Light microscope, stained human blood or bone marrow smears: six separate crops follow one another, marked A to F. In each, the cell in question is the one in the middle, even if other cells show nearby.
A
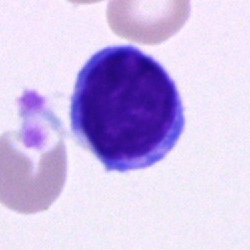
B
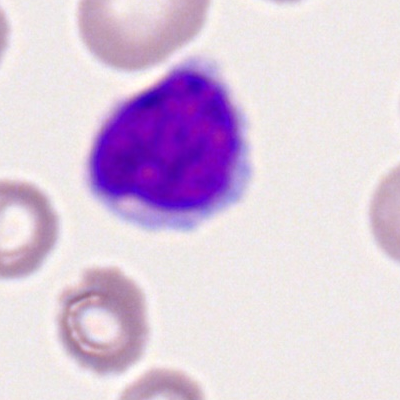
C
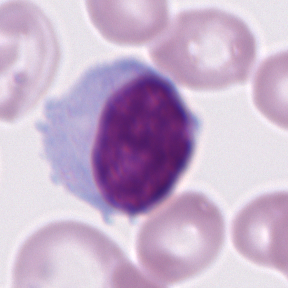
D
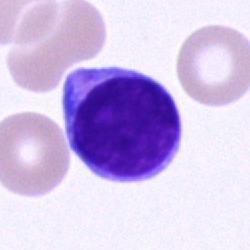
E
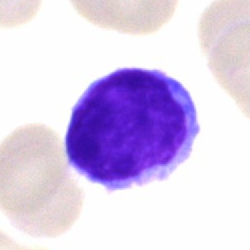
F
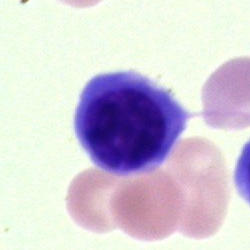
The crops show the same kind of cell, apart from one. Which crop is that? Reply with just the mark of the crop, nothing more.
F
